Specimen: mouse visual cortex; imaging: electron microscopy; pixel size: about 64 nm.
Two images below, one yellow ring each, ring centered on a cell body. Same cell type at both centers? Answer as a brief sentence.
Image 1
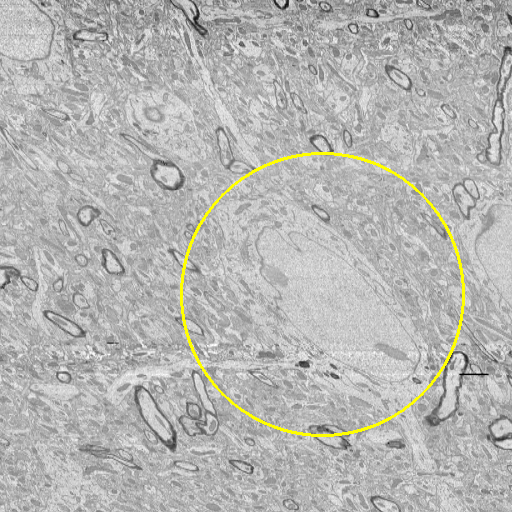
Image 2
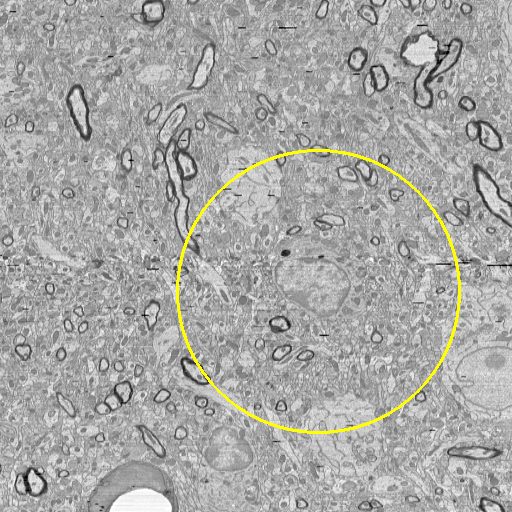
No, the cells are of two separate types.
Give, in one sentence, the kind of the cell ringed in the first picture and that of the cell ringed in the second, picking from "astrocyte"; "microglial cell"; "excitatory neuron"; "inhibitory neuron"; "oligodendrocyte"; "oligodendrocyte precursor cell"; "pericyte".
For the first picture it is an excitatory neuron; for the second, an oligodendrocyte.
